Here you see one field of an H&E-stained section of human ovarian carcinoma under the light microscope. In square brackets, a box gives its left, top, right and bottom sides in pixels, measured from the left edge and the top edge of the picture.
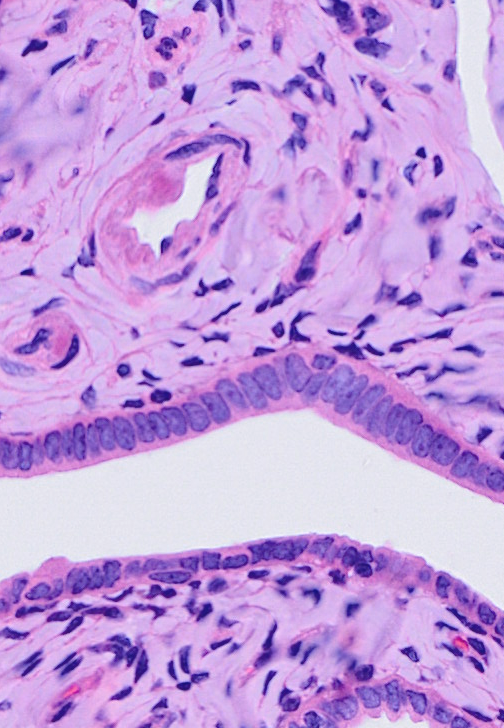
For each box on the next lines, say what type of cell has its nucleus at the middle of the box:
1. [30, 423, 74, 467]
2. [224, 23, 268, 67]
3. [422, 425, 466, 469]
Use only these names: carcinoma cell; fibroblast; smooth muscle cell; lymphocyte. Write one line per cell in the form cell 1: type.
cell 1: carcinoma cell
cell 2: smooth muscle cell
cell 3: carcinoma cell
